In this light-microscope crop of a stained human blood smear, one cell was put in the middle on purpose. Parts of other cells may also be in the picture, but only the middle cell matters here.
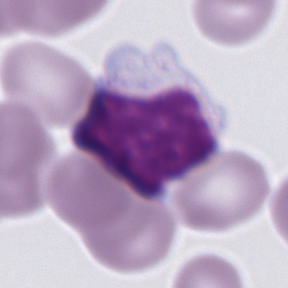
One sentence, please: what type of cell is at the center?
Here the centrally located cell is a large granular lymphocyte.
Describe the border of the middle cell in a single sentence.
Irregular and not smooth, the cell boundary is ragged or drawn out into projections.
